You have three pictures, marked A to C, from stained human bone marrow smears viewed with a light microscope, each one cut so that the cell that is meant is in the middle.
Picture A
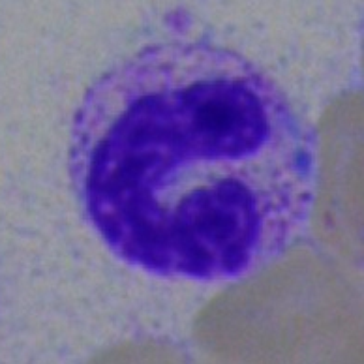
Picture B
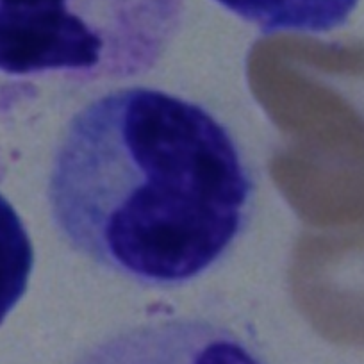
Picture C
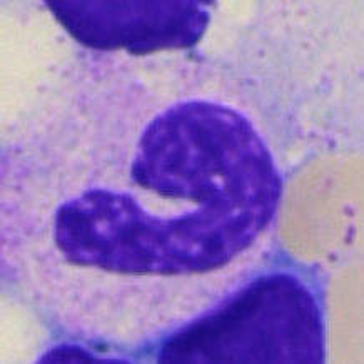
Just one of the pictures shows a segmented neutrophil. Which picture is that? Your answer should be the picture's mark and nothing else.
C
